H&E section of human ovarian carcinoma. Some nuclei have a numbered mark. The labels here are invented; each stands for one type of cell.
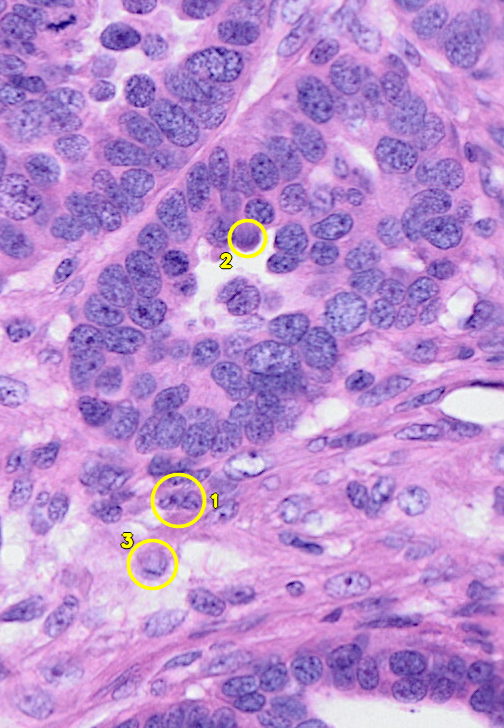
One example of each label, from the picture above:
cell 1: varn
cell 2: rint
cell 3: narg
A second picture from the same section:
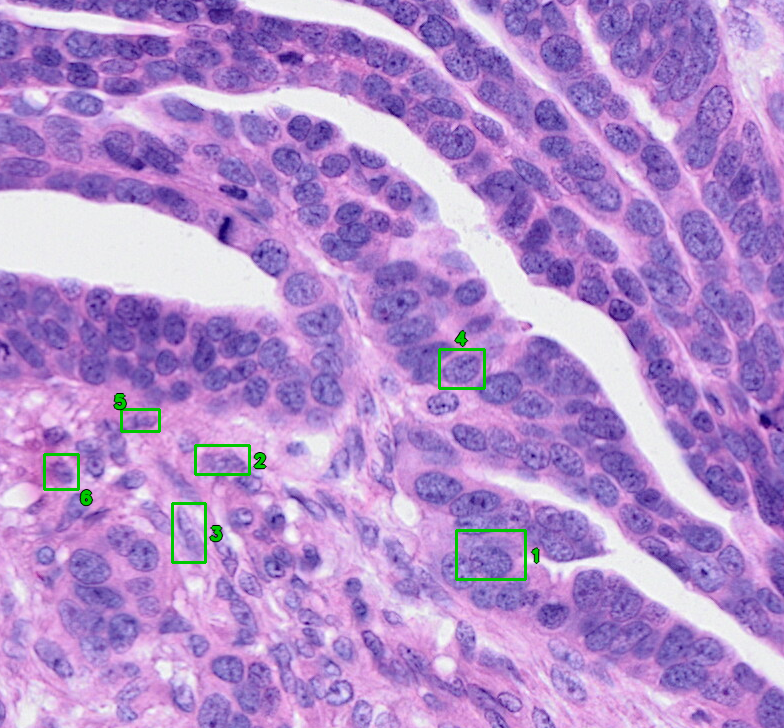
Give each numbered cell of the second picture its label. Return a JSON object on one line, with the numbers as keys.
{"1": "rint", "2": "narg", "3": "narg", "4": "rint", "5": "narg", "6": "varn"}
